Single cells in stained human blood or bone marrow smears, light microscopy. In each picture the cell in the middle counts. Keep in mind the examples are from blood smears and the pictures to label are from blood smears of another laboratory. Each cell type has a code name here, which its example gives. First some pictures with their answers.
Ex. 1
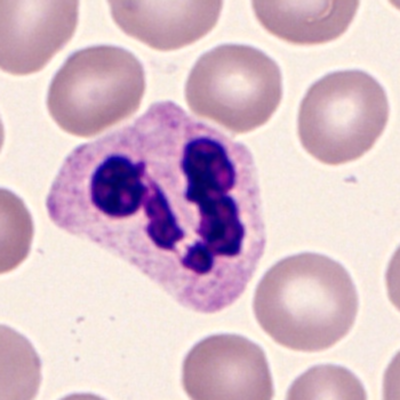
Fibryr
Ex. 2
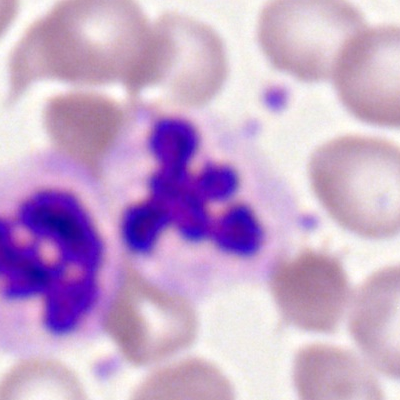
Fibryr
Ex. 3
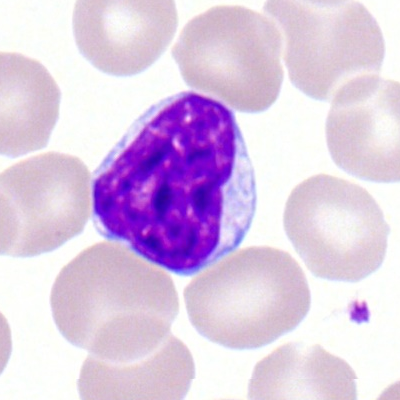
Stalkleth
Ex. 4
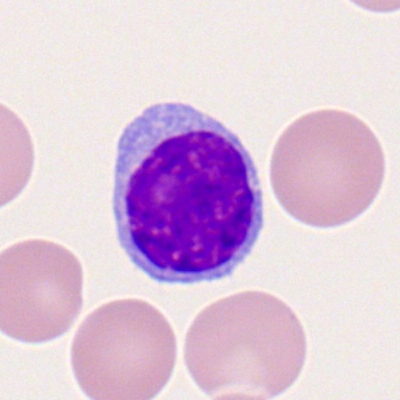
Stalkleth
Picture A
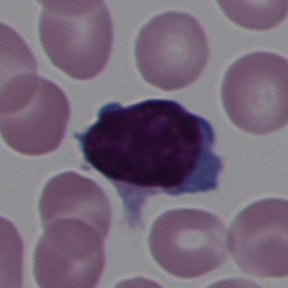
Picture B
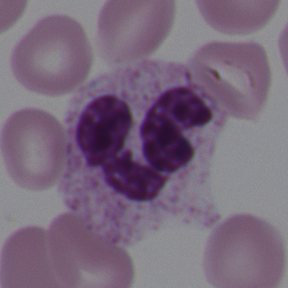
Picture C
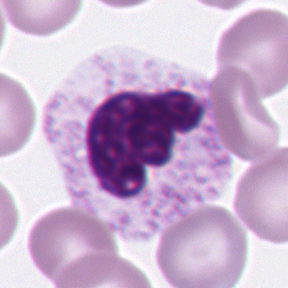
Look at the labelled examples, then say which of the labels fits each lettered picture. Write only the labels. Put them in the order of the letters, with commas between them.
Stalkleth, Fibryr, Fibryr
